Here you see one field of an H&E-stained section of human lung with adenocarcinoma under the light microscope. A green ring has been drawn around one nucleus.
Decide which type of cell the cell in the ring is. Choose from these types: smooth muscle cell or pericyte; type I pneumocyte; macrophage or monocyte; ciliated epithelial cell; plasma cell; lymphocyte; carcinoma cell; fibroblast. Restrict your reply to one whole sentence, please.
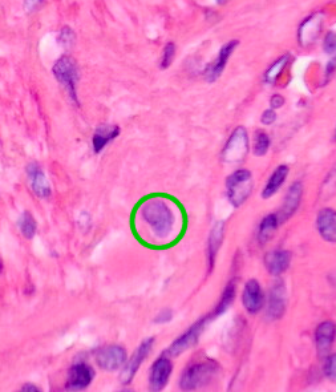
Students should answer that the cell in the ring is a fibroblast.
